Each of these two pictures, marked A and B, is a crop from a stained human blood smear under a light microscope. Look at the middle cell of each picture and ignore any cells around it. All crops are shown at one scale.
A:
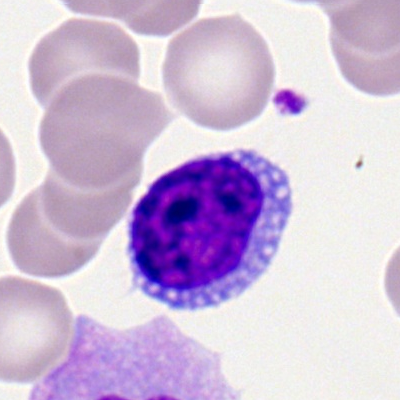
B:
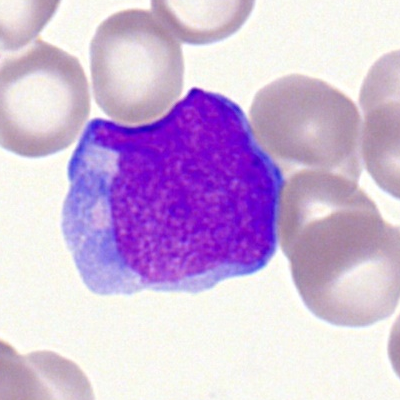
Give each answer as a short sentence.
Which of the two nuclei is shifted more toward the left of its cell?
The nucleus in picture A lies further toward the left of its cell.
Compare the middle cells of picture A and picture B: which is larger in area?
It is the cell in picture B, about 2 times as large in area as the cell in picture A.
